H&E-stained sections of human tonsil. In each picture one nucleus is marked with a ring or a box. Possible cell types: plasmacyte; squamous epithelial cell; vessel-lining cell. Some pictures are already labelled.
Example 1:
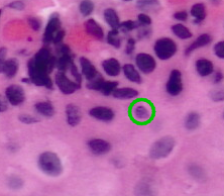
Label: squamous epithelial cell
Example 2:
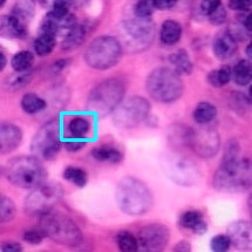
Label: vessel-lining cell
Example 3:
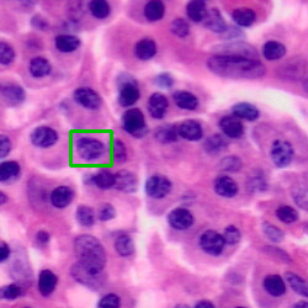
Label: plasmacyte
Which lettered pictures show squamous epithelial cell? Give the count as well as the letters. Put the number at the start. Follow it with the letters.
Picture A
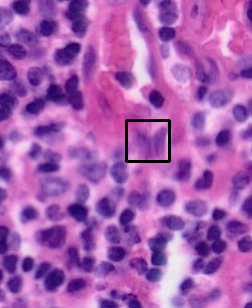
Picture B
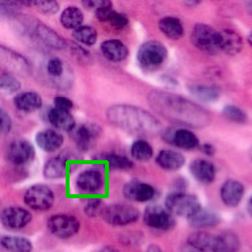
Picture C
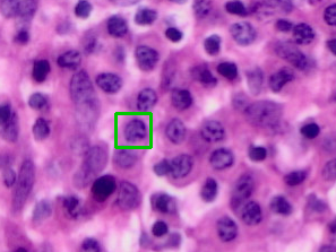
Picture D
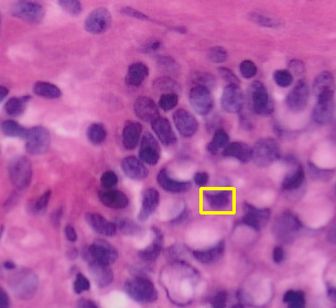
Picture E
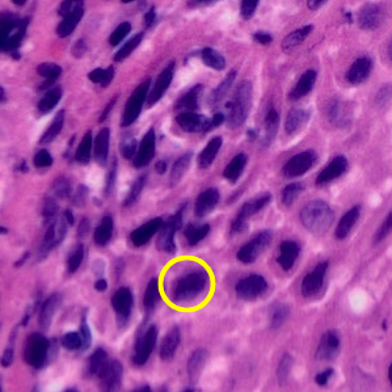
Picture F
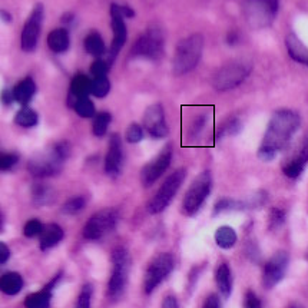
3, namely D, E, F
